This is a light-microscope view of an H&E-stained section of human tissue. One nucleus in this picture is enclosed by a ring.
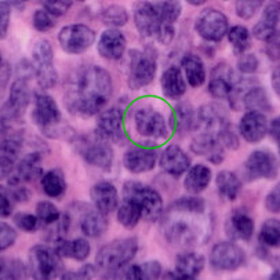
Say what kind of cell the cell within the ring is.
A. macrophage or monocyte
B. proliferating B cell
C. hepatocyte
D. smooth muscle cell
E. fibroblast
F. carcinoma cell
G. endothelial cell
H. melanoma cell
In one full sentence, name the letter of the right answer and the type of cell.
Under option B, the cell within the ring is a proliferating B cell, which is the correct identification.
